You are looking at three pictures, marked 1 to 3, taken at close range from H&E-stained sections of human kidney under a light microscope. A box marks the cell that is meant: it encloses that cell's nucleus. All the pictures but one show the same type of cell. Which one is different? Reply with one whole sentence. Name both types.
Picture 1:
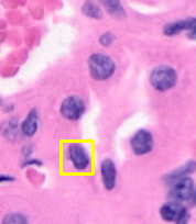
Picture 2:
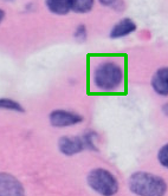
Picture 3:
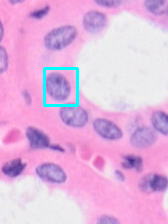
The different one is picture 1; it shows a “loop of Henle or distal tubule cell”, whereas all the others show collecting duct cells.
